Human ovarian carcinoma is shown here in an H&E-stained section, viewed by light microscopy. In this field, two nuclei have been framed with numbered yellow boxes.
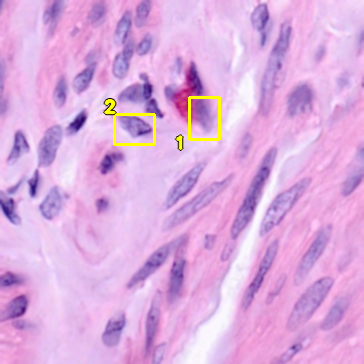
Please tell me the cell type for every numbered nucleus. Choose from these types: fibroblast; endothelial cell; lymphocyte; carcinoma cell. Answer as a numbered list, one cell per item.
1. endothelial cell
2. fibroblast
